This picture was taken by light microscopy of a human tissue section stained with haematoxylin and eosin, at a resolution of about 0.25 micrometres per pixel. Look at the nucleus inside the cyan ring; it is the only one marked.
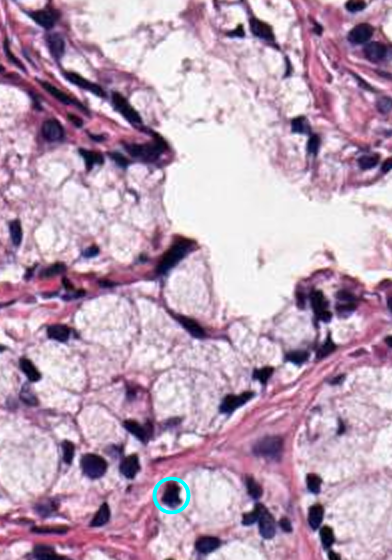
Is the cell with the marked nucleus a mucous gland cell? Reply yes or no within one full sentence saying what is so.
Yes, the marked nucleus is that of a mucous gland cell.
